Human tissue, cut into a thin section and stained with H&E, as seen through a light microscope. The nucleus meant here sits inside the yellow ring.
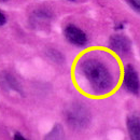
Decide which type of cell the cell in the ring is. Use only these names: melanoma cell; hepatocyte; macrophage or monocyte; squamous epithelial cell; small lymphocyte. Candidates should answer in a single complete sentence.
For the purposes of cell typing, the cell in the ring is categorized as a squamous epithelial cell.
